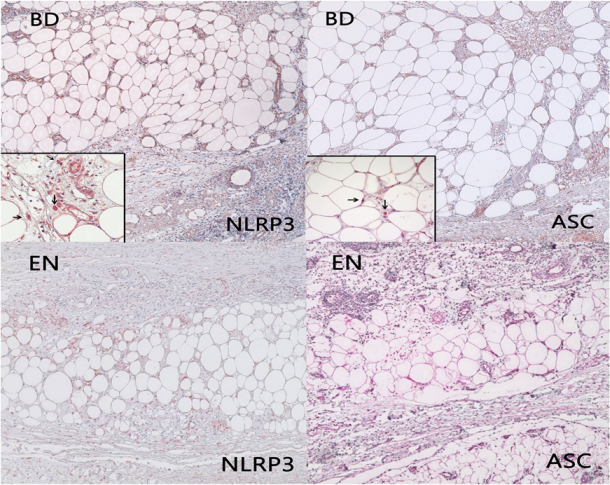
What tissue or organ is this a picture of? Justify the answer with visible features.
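Subcutaneous tissue. Lobules of large, clear, empty-looking polygonal cells with thin walls fill much of each image. Bands of denser fibrous tissue run between the lobules of clear cells.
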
